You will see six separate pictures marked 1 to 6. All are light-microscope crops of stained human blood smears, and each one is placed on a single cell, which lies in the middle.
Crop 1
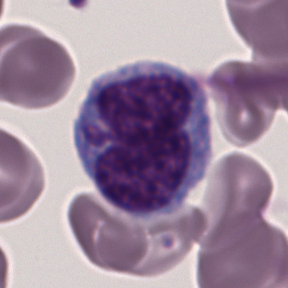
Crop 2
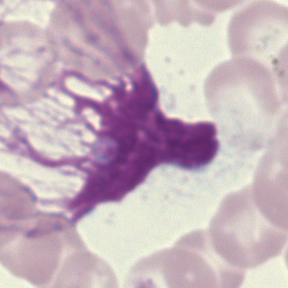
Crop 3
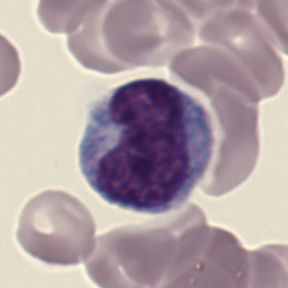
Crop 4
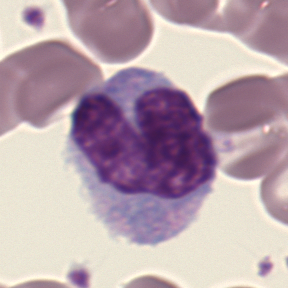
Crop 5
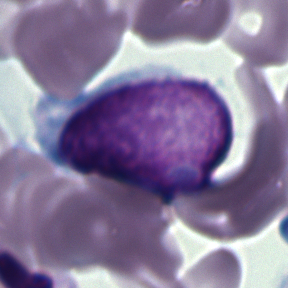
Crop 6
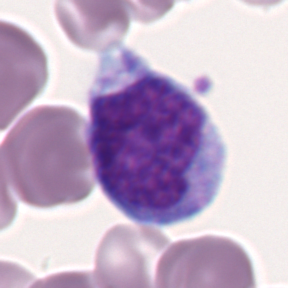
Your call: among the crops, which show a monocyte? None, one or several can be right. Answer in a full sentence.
Crops 1, 3, 4 and 6 show monocytes, going by the cell in the middle of each.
